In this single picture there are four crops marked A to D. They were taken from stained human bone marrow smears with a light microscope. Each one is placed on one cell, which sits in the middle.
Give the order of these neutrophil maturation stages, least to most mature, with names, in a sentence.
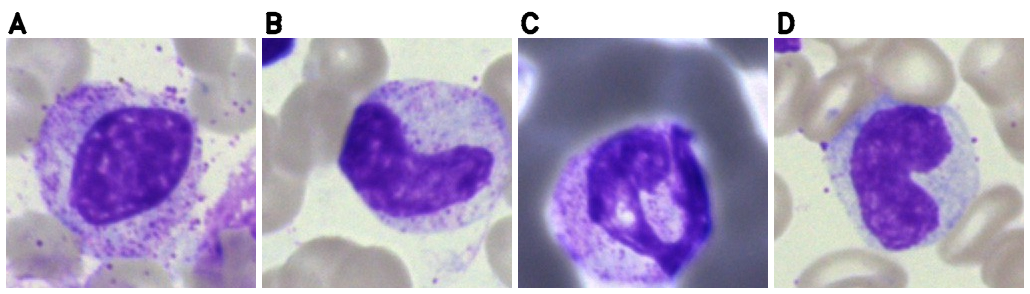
The order of maturity, lowest to highest, is crop A (a myelocyte), crop B (a metamyelocyte), crop D (a band neutrophil) and crop C (a segmented neutrophil).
